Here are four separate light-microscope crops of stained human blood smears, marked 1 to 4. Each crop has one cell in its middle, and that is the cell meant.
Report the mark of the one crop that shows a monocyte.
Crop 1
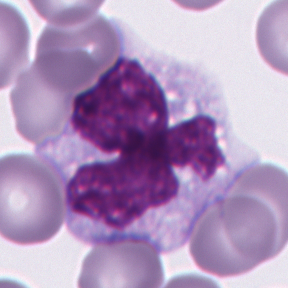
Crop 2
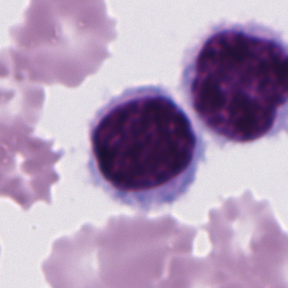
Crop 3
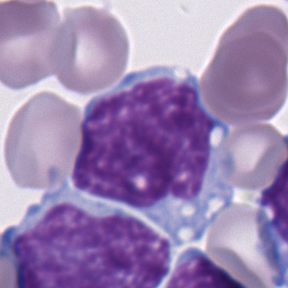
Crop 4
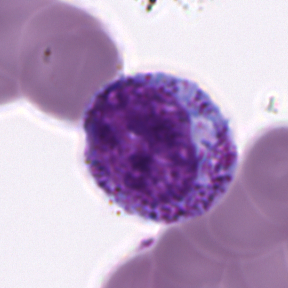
1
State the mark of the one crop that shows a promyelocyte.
4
